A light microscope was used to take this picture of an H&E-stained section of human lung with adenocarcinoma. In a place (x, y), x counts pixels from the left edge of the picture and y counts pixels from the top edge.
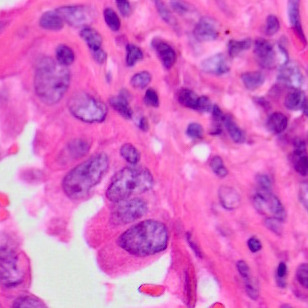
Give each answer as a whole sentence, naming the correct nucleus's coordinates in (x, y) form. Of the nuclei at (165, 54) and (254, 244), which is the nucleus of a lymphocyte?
The nucleus at (254, 244) is the member of the pair belonging to a lymphocyte.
